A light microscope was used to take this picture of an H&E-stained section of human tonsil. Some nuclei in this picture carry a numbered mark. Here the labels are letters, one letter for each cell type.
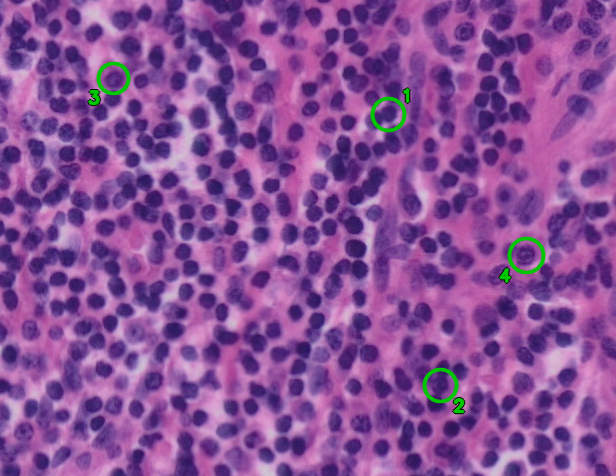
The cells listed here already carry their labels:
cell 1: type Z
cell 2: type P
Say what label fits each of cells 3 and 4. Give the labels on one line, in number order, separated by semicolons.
type P; type P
